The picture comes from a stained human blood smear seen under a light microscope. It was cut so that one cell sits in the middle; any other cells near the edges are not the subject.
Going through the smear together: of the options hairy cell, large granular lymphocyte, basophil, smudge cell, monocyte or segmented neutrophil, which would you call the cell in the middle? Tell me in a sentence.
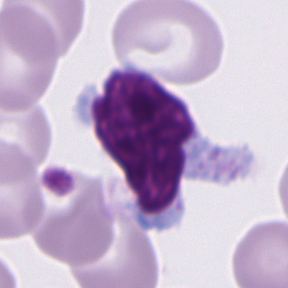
The middle cell in this particular crop is a large granular lymphocyte.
